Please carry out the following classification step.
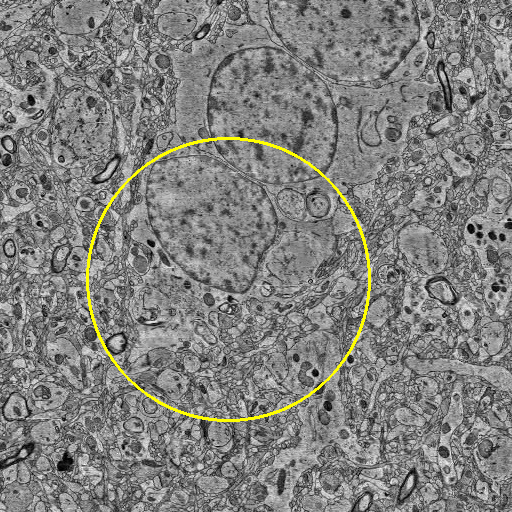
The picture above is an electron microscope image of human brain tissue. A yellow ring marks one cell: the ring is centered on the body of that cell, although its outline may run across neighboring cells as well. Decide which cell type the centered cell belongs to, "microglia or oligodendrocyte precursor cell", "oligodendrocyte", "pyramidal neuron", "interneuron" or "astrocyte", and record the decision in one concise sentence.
The cell centered in the yellow ring is an astrocyte.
